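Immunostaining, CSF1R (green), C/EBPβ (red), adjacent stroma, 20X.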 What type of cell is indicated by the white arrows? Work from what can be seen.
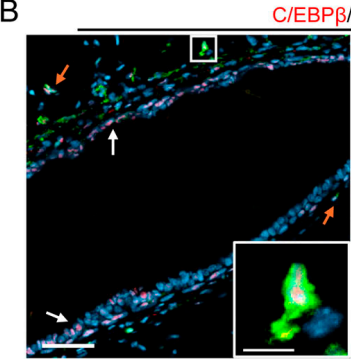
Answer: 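The white arrows point into a continuous band of tightly packed nuclei lining a large dark lumen. The cells they point to lack green staining.
Hence: epithelial.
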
